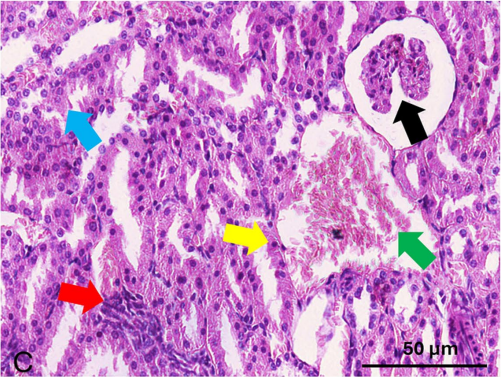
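Renal cortex with disturbed architecture. One glomerulus at the upper right has a small, shrunken tuft within its capsule, surrounded by a wide clear space. Elongated tubules run across the field. Many have irregular, widened lumina, and their lining cells are crowded, with pale cytoplasm and purple nuclei. At the lower left, a dense cluster of small, dark nuclei lies between the tubules, marking an inflammatory infiltrate.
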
